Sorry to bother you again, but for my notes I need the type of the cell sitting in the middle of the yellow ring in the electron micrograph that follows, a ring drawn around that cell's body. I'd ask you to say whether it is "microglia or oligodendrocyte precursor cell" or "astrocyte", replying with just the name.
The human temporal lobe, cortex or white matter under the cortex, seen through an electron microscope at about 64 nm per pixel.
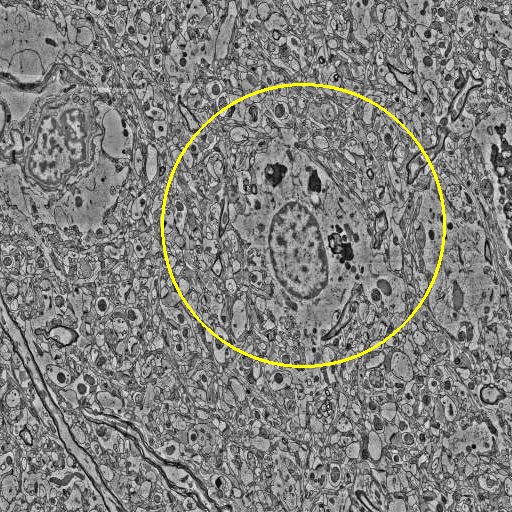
astrocyte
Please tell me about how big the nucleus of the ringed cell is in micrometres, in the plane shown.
The nucleus is approximately 6 micrometres long but only about 3 wide, clearly longer than it is wide in this plane.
